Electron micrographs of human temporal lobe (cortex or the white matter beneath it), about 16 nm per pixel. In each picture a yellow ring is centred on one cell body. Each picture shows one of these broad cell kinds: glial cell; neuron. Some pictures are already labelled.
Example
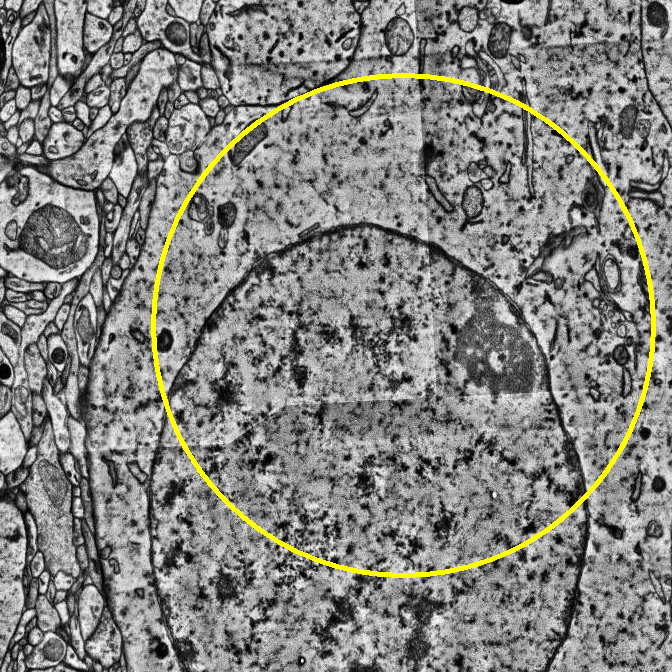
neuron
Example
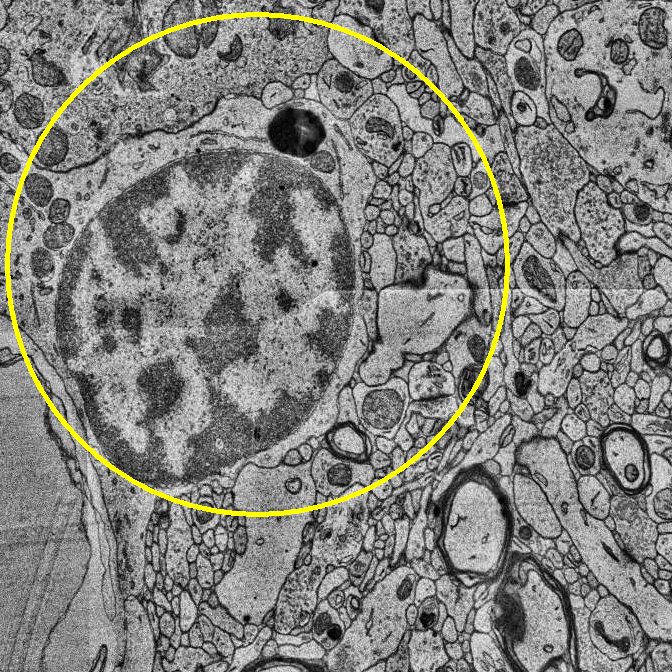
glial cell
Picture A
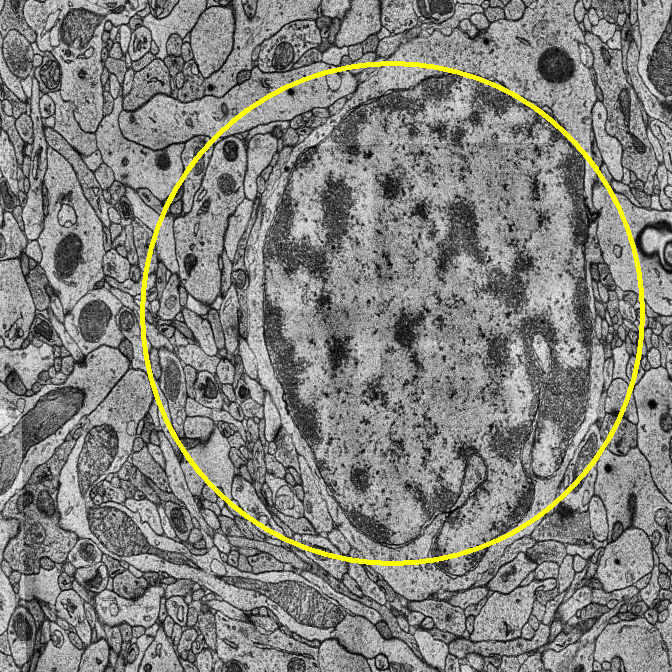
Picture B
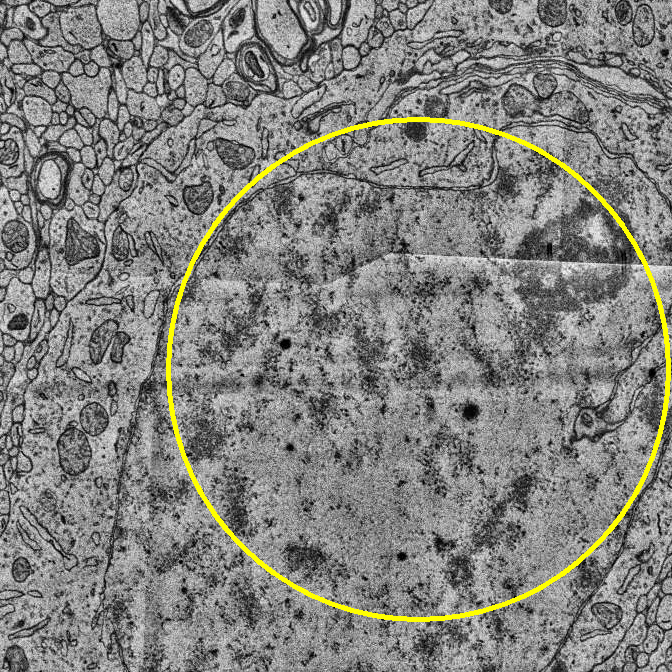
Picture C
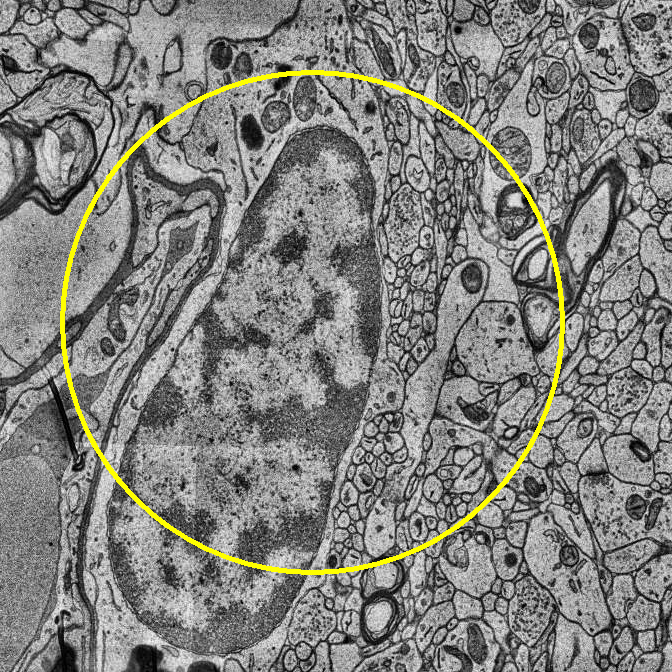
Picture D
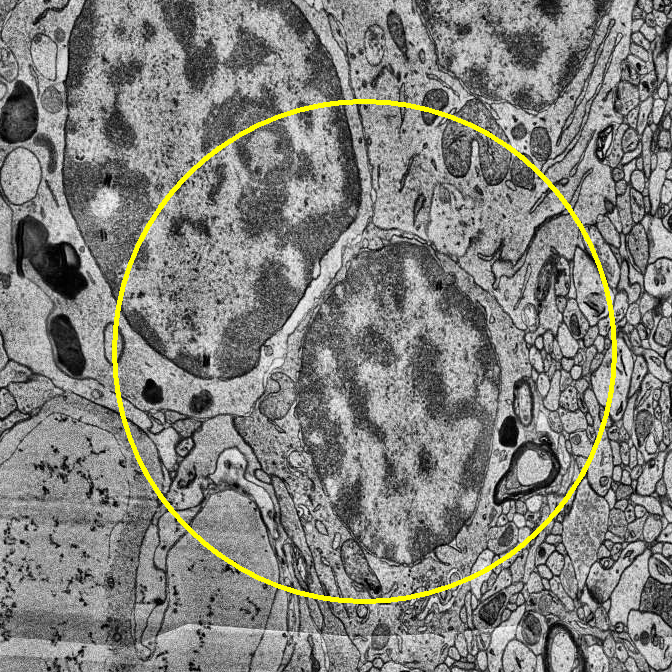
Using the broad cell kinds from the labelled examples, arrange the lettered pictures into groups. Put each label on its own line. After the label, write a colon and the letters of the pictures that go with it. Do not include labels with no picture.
glial cell: A, C, D
neuron: B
